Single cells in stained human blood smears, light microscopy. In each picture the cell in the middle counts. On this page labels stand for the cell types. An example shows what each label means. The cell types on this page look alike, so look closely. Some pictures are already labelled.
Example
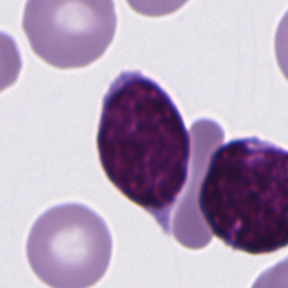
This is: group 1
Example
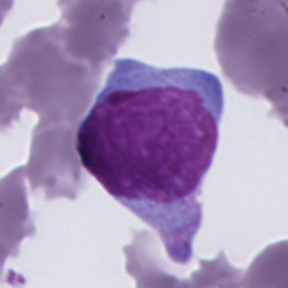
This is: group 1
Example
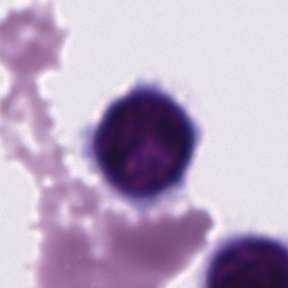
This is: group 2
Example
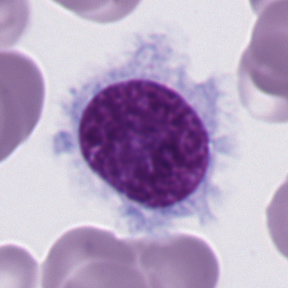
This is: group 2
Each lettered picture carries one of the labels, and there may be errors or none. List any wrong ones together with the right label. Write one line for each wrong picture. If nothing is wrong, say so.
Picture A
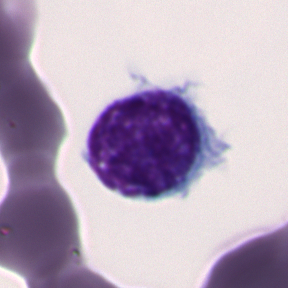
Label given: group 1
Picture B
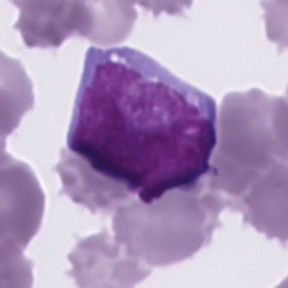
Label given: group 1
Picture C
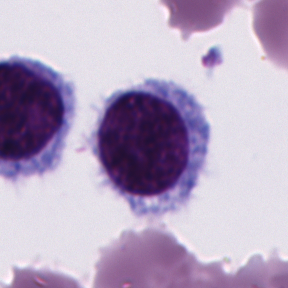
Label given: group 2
A should be group 2, not group 1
